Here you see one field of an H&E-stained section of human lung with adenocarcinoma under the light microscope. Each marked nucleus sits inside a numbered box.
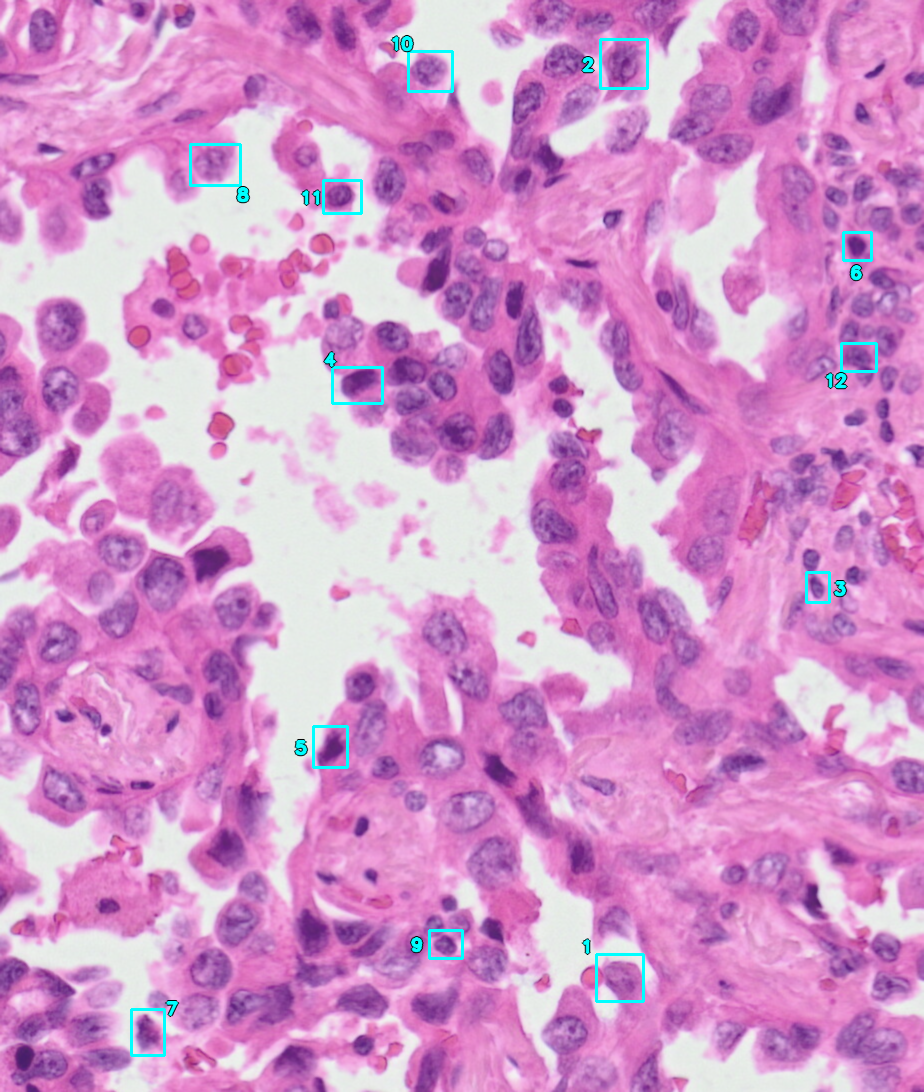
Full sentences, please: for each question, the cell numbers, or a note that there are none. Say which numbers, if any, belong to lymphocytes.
The cells numbered 3 and 9 are identified as lymphocytes.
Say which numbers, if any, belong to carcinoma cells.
Cells 1, 2, 4, 5, 7, 8 and 10 are classified as carcinoma cells.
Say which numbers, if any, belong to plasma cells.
The cells identified by the numbers 6 and 12 are plasma cells.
